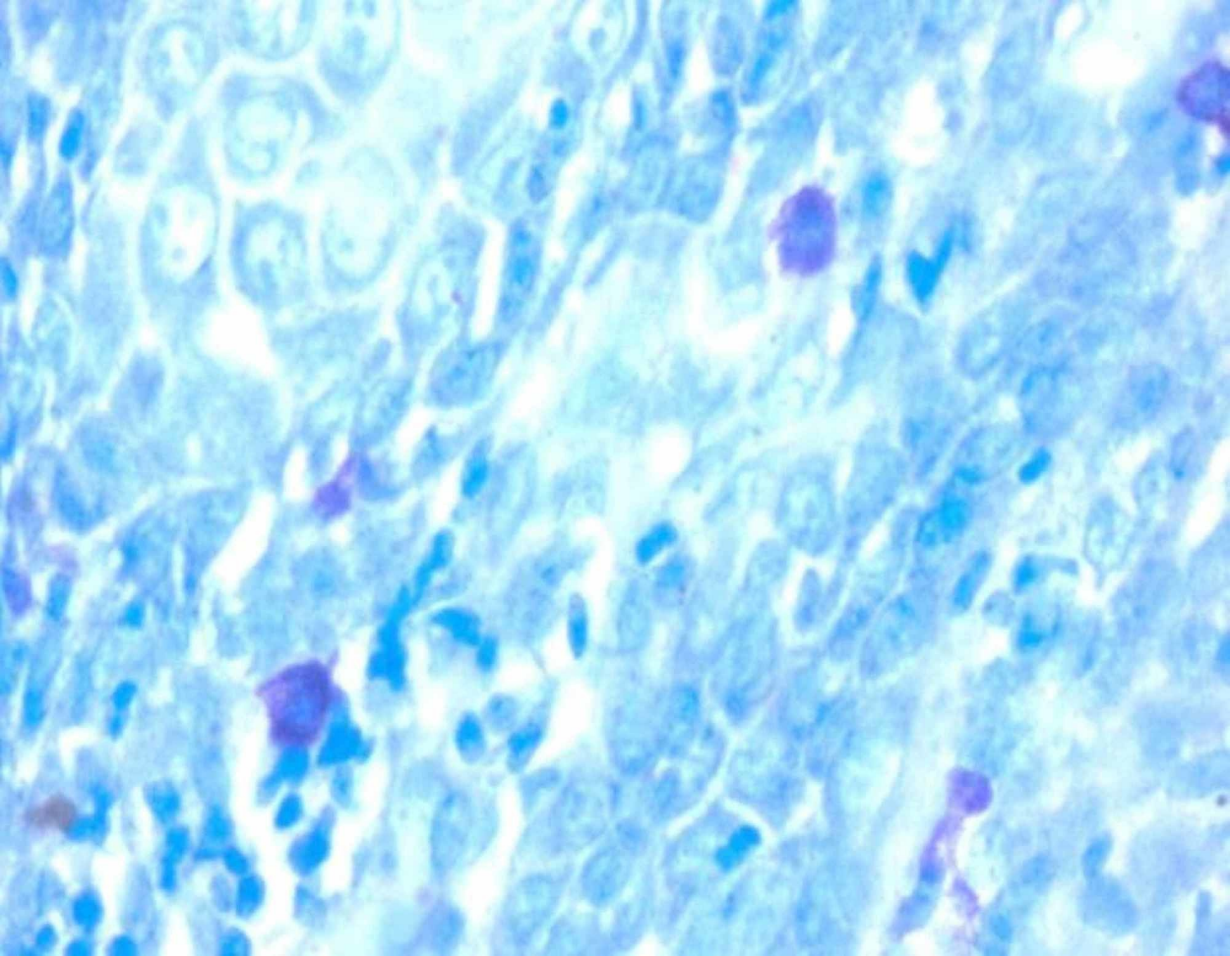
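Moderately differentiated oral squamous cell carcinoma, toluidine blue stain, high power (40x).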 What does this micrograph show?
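In the upper left, large polygonal tumour cells have distinct cell borders, pale cytoplasm and large oval nuclei with visible nucleoli. Across the rest of the field, cells are arranged in streaks running diagonally, with small dark blue nuclei scattered between them. A handful of single cells are stained an intense purple-violet, contrasting with the blue of everything around them. These purple cells are round to irregular in outline, and one at the lower right is drawn out into an elongated, trailing shape.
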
